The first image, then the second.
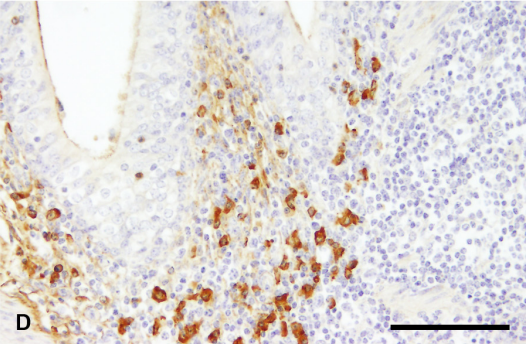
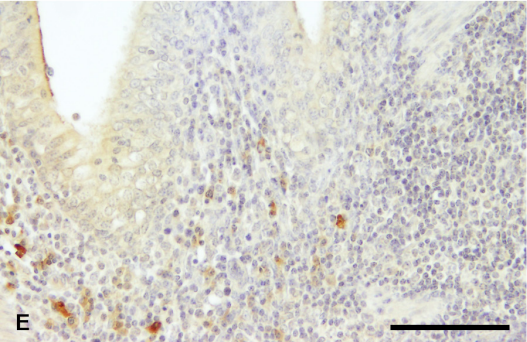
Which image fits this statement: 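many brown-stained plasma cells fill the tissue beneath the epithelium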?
the first image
